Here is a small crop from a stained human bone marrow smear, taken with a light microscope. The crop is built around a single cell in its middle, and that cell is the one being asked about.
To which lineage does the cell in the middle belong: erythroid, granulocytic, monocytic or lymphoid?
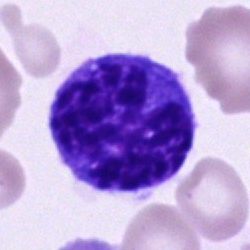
monocytic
